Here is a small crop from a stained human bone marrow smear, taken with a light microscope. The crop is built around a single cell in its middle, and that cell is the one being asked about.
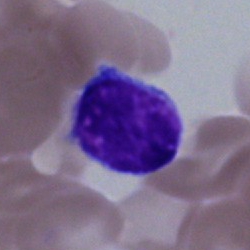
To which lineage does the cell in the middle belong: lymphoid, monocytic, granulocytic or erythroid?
lymphoid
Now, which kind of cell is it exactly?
lymphocyte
